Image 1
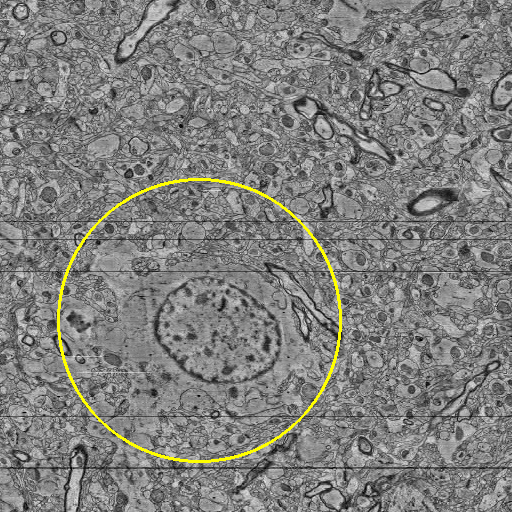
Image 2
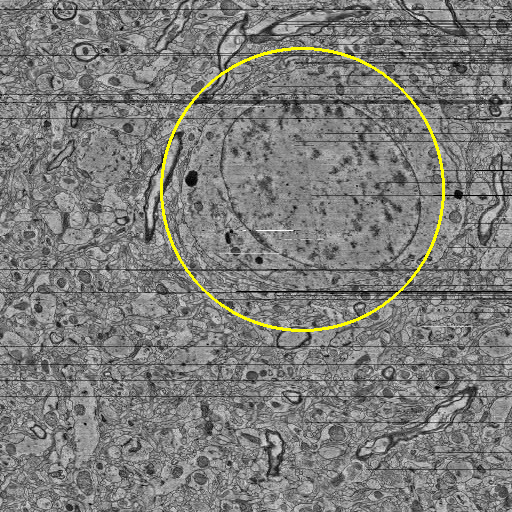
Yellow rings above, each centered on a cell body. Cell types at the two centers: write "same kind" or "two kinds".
two kinds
